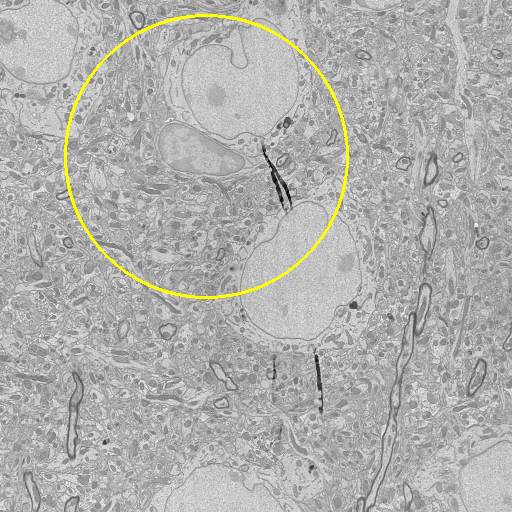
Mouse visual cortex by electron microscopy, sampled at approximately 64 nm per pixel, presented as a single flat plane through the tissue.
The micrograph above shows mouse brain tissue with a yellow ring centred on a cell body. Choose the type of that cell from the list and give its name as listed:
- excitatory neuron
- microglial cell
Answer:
microglial cell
